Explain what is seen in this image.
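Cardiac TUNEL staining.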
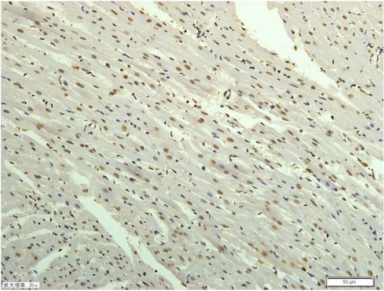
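This is heart muscle cut along its fibres, with a pale background in which the nuclei stand out. Many of the elongated nuclei lying in line with the fibres are stained brown, and a few others stay blue. The brown nuclei are spread across the whole field rather than being gathered in one spot. Narrow pale clefts separate some of the bundles of fibres.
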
